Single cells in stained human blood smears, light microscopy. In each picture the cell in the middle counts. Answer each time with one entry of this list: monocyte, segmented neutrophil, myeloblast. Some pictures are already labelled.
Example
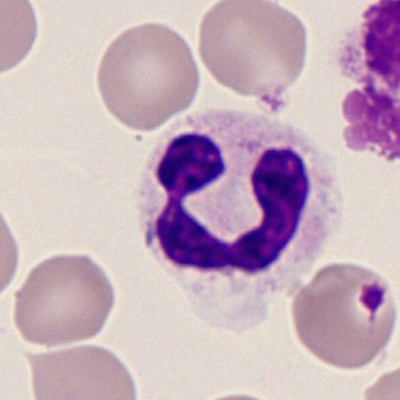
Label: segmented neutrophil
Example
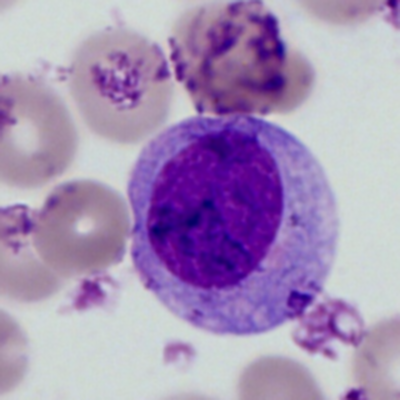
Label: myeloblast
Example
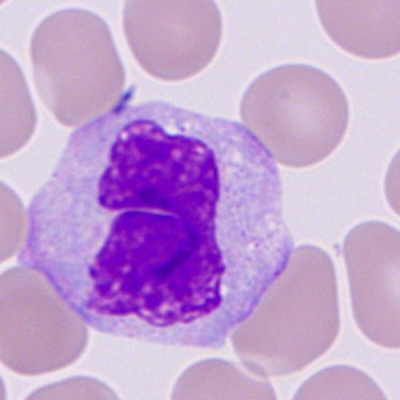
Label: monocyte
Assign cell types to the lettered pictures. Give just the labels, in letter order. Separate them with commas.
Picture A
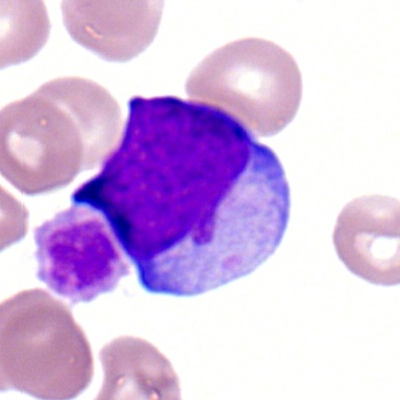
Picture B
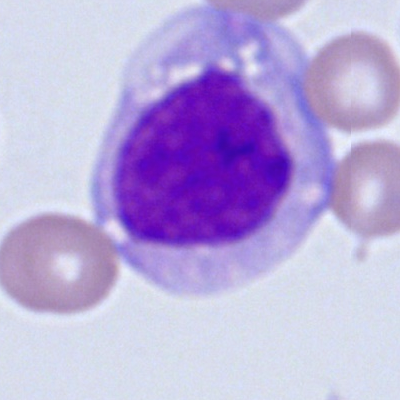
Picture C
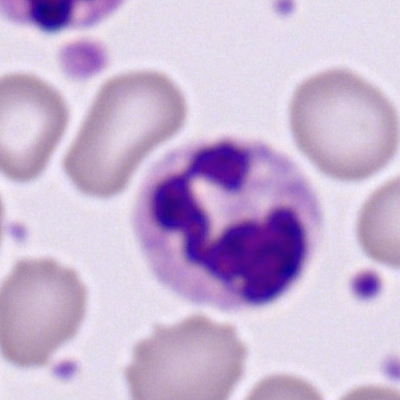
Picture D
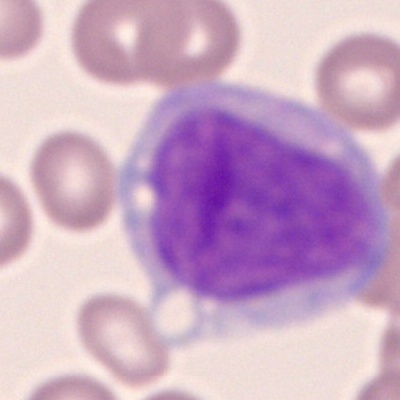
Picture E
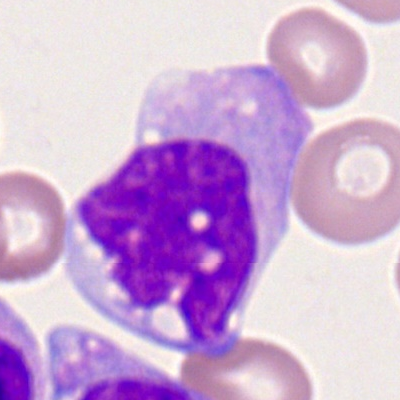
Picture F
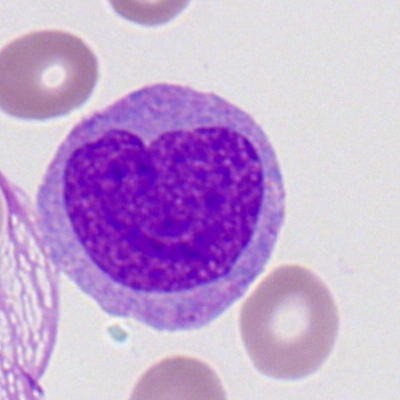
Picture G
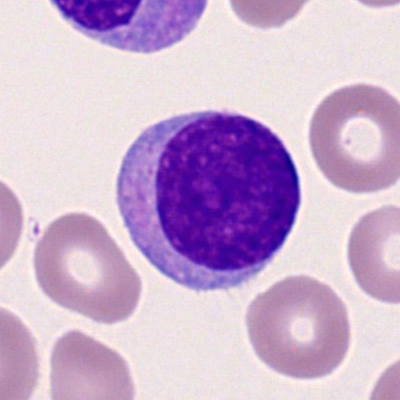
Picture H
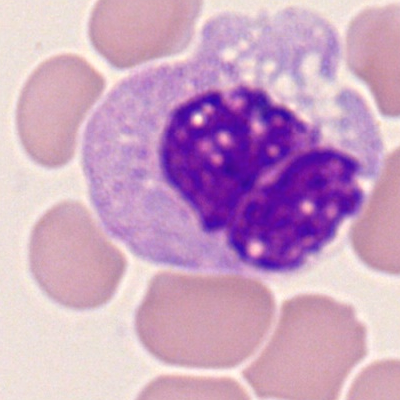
myeloblast, monocyte, segmented neutrophil, myeloblast, monocyte, myeloblast, myeloblast, monocyte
